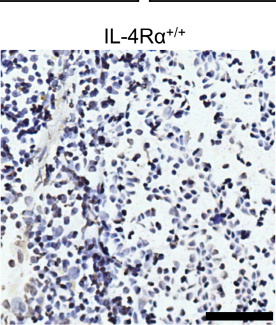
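The cytoplasm is scant and pale, so the nuclei dominate the picture. A paler band with fewer nuclei runs through the upper left part of the field. There are no distinct clusters of dark brown-stained cells, only a faint brownish tint in places.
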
